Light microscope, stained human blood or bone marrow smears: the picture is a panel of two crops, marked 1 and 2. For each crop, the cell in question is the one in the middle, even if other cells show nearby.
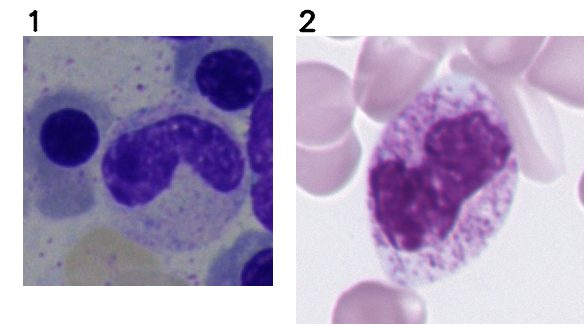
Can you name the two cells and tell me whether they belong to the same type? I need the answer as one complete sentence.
Yes, as for both crops, the cells shown are band neutrophils.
